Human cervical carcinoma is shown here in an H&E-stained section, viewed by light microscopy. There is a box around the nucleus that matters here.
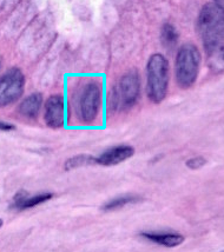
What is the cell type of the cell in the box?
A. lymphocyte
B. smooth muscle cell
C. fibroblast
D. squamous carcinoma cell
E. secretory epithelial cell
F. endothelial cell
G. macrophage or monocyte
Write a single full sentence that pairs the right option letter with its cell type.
The correct pick is option E; the cell in the box is a secretory epithelial cell.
